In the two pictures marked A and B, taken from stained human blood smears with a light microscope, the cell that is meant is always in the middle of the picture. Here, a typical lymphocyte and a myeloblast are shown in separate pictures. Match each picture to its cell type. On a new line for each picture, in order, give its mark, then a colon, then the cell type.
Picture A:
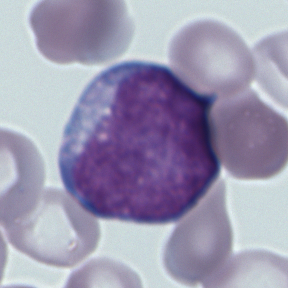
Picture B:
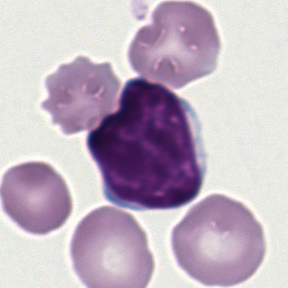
A: myeloblast
B: typical lymphocyte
